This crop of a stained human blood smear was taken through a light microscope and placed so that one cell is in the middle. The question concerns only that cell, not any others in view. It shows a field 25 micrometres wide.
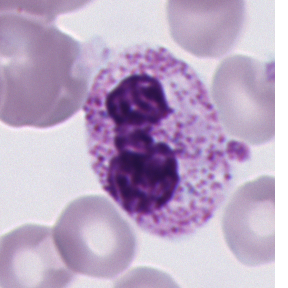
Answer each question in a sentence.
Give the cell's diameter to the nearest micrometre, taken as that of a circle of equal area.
About 14 micrometres: that is the cell's diameter.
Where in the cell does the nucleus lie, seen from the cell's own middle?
The nucleus is pushed toward the left of the cell.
